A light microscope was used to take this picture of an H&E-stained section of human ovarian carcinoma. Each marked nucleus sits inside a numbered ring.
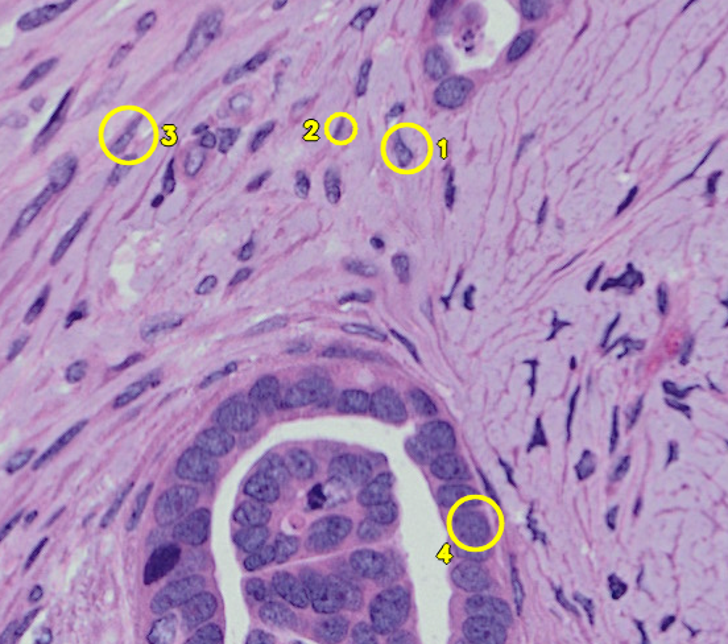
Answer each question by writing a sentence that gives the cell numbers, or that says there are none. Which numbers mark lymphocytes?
The numbered cells, every one of them, are not lymphocytes.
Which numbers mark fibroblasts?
The cells that bear the numbers 1, 2 and 3 are fibroblasts.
